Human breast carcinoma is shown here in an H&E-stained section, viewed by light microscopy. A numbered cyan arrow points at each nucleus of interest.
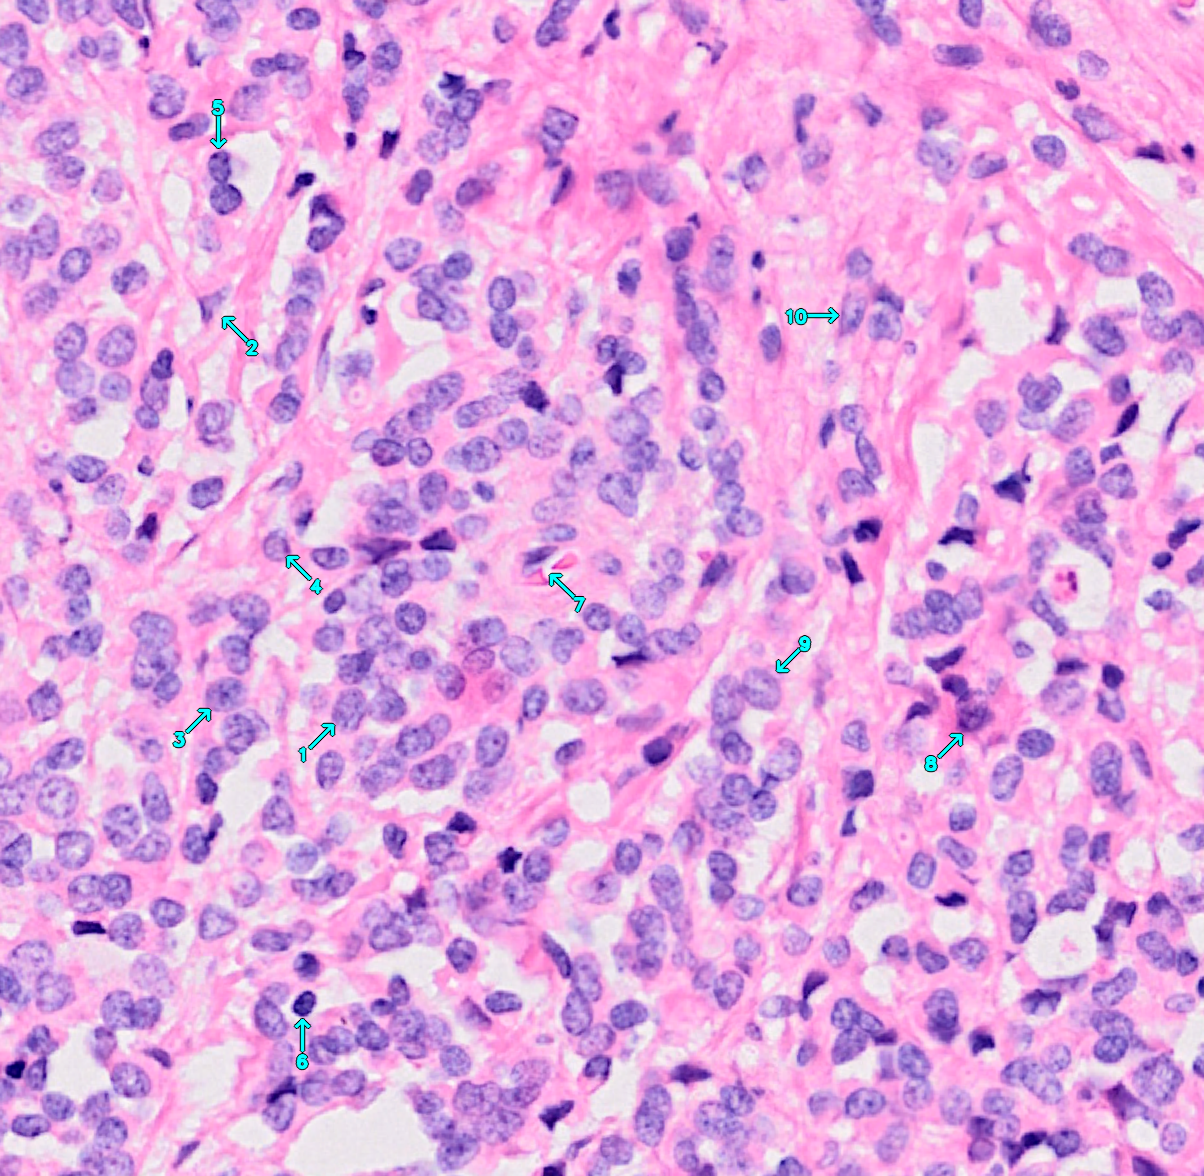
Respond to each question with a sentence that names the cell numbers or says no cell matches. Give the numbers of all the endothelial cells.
The cells that the numbers 7 and 10 belong to are endothelial cells.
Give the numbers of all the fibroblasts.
Only the cell carrying number 2 is a fibroblast.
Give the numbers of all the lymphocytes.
Only one choice fits: cell 6 is a lymphocyte, and no other.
